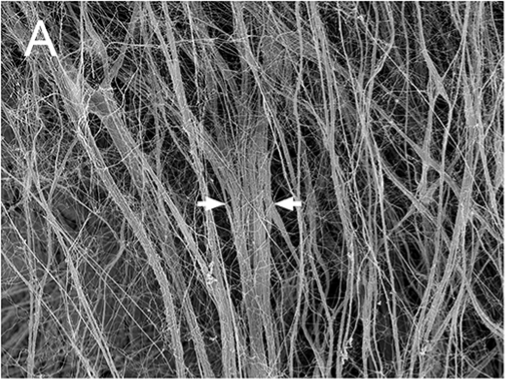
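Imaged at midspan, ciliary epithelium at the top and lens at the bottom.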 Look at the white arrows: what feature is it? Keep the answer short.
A: Thicker bundles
